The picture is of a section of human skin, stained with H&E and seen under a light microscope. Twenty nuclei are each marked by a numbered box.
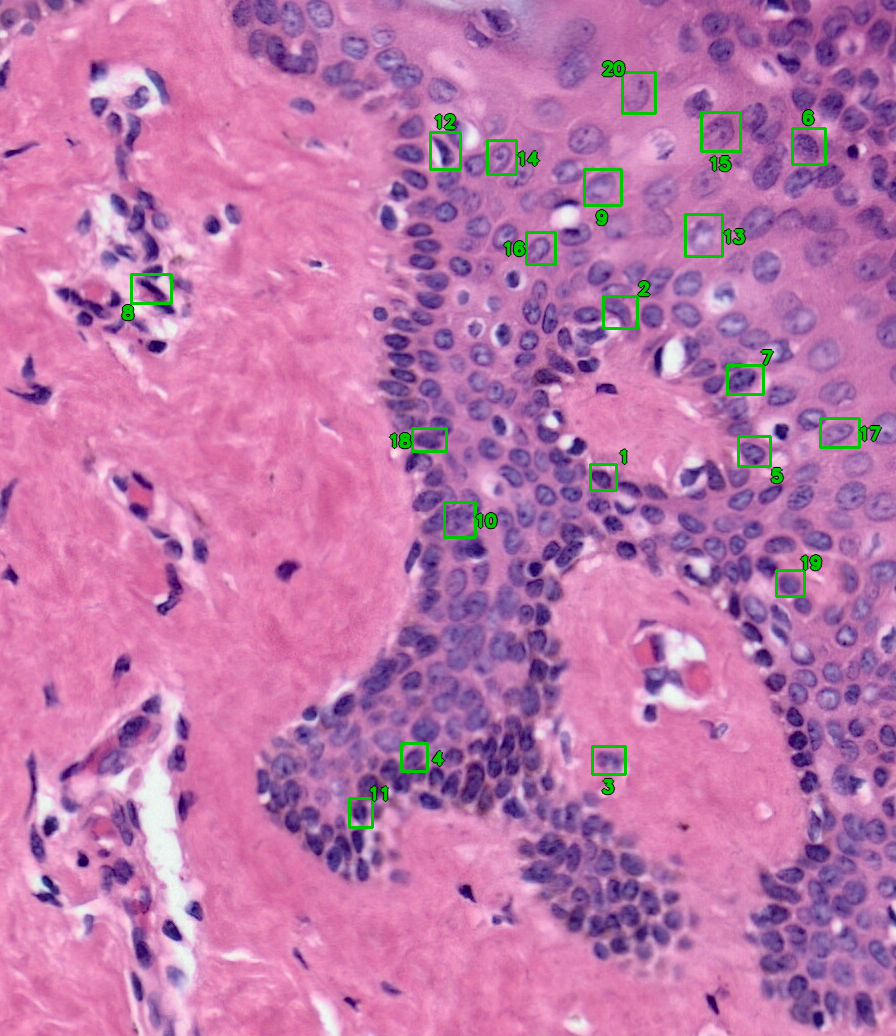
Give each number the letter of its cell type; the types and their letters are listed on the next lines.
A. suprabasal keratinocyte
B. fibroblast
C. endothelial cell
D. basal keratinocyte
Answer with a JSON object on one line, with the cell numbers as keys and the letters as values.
{"1": "D", "2": "D", "3": "B", "4": "D", "5": "D", "6": "D", "7": "D", "8": "C", "9": "A", "10": "D", "11": "D", "12": "D", "13": "A", "14": "A", "15": "A", "16": "A", "17": "A", "18": "D", "19": "D", "20": "A"}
